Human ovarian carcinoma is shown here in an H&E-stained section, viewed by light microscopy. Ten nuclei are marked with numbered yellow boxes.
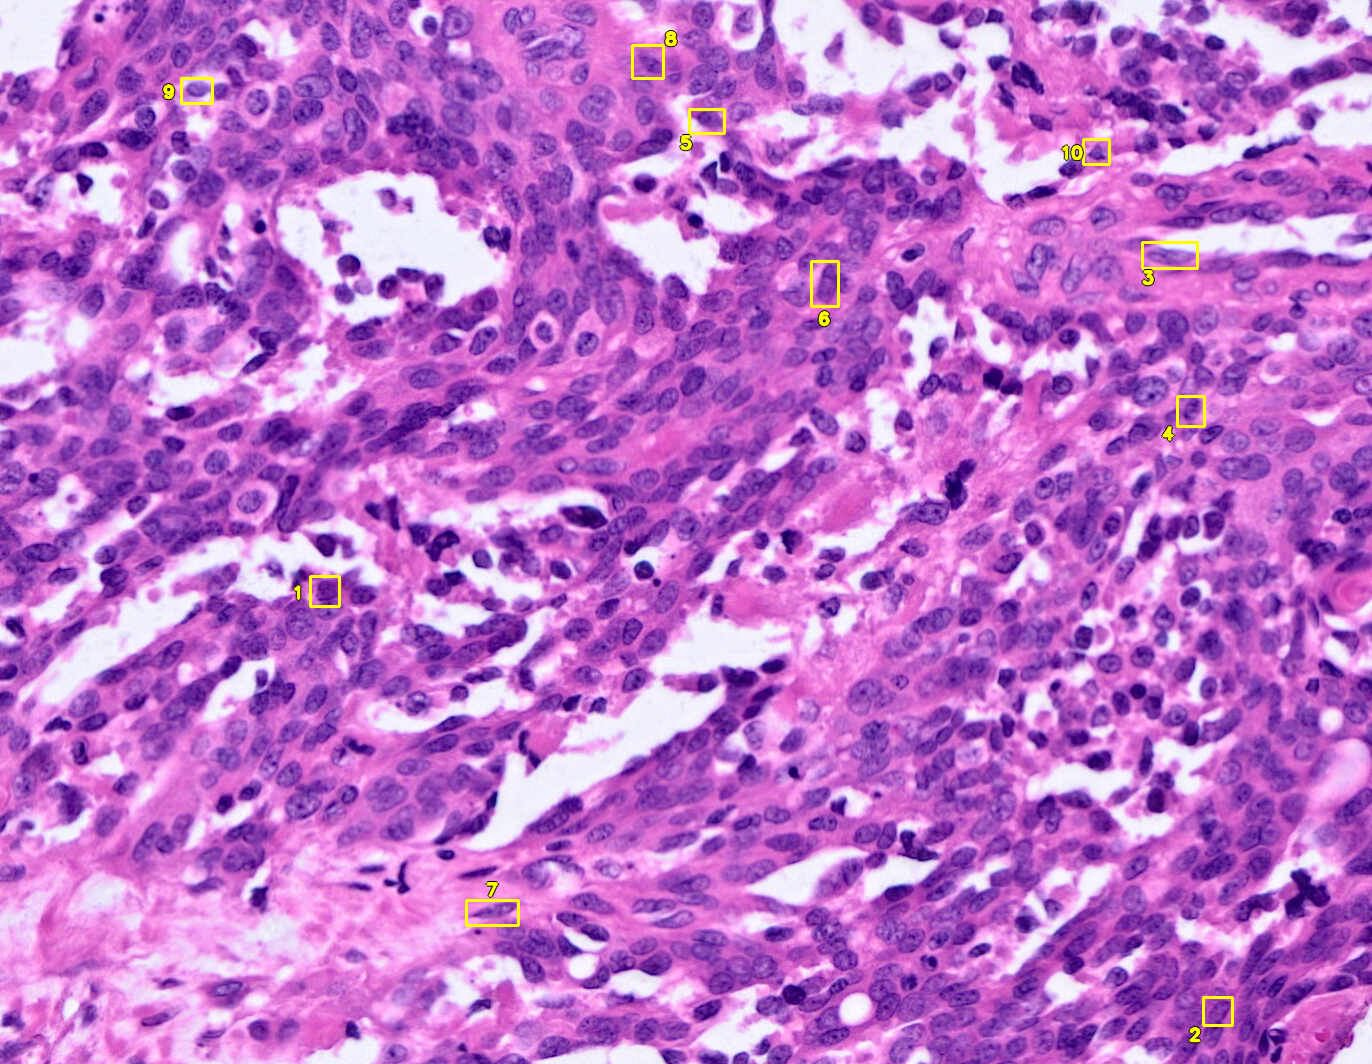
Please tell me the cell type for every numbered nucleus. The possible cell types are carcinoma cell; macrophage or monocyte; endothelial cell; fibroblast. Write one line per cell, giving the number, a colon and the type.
1: carcinoma cell
2: carcinoma cell
3: endothelial cell
4: macrophage or monocyte
5: carcinoma cell
6: carcinoma cell
7: fibroblast
8: carcinoma cell
9: carcinoma cell
10: macrophage or monocyte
